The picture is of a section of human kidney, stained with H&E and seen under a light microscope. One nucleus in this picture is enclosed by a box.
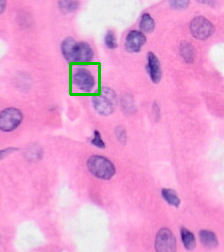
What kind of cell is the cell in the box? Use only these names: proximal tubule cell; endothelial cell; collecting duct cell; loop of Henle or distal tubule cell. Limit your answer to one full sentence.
With respect to cell type, the cell in the box is a collecting duct cell.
